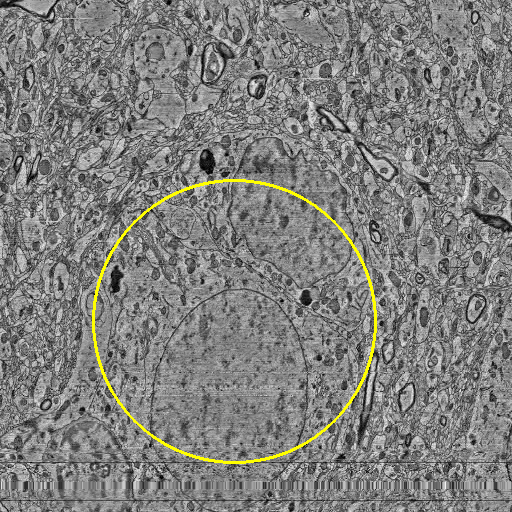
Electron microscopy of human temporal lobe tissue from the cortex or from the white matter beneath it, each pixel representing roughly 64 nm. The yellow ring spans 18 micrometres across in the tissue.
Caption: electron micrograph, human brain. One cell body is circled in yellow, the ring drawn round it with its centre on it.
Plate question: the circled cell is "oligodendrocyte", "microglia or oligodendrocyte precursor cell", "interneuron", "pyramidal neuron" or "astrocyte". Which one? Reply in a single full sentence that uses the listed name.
The yellow ring on the plate is centred on a pyramidal neuron, going by the listed names.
